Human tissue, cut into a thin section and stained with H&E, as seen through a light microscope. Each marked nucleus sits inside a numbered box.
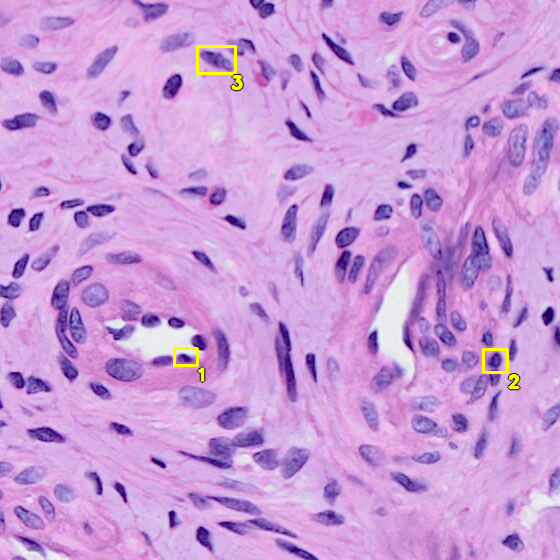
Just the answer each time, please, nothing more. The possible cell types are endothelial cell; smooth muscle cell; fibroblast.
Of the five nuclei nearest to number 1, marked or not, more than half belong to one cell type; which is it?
endothelial cell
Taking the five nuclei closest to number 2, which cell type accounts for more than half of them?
smooth muscle cell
